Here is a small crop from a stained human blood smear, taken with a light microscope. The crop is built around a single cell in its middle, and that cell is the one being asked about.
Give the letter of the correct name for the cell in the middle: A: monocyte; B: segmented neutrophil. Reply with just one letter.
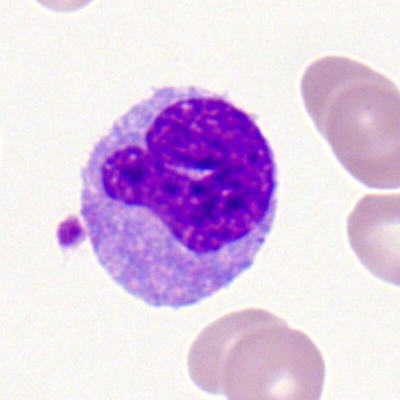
A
